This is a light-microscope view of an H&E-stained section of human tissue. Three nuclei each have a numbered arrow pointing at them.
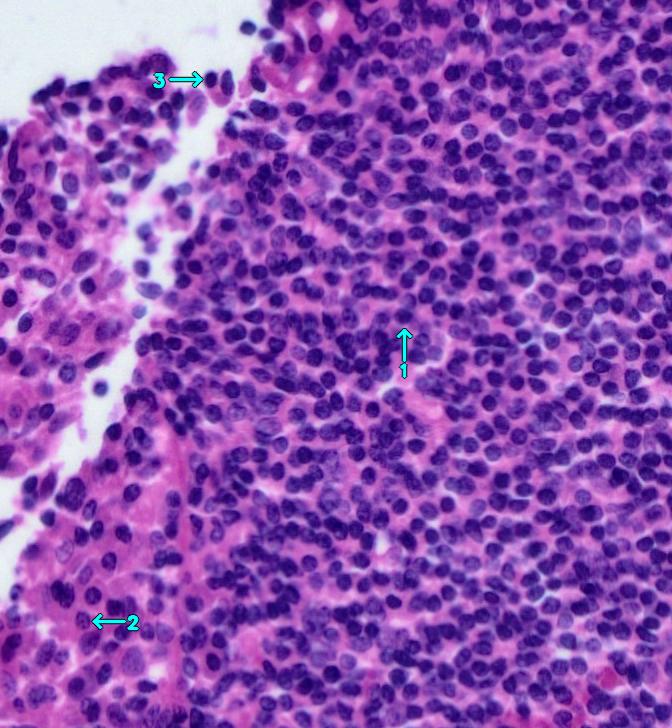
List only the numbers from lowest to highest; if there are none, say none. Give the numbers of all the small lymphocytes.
1, 3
